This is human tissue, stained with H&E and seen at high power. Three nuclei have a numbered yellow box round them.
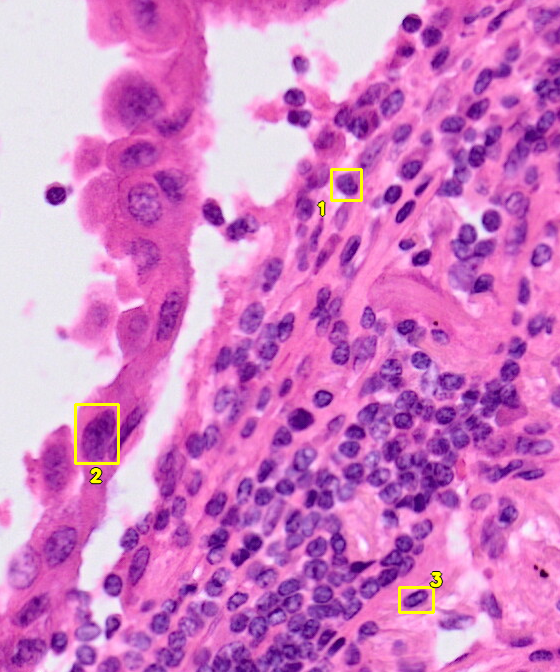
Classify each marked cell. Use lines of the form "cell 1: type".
cell 1: lymphocyte
cell 2: carcinoma cell
cell 3: lymphocyte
